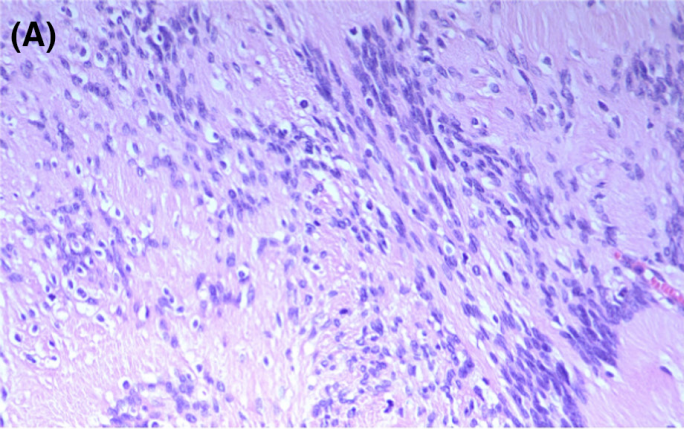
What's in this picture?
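Tumour tissue made of fibrillary, elongated spindle cells aggregated in streaming bands. Zones dense with purple elongated nuclei alternate with paler, looser pink fibrillary areas in which nuclei are fewer. The nuclei are fairly uniform, without marked atypia, and no mitotic figures are evident. A small vessel with red blood cells lies at the right edge.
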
